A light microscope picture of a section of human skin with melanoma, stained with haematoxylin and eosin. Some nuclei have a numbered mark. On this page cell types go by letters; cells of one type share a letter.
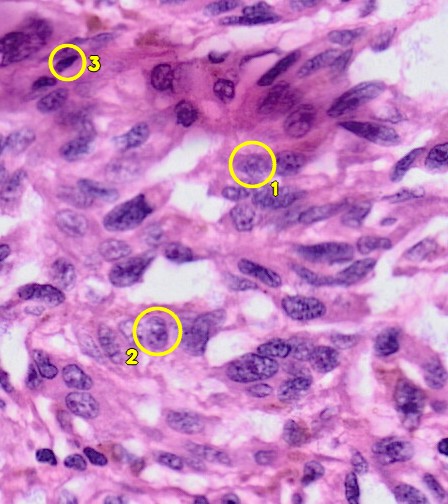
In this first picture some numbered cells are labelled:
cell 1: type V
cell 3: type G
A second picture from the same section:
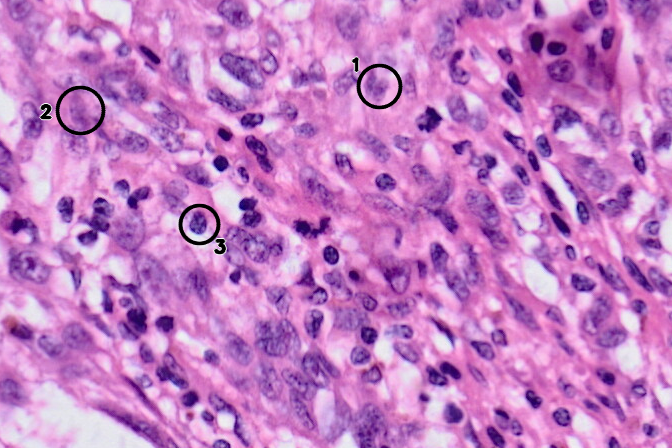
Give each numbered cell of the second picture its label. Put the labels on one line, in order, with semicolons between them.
type V; type V; type G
